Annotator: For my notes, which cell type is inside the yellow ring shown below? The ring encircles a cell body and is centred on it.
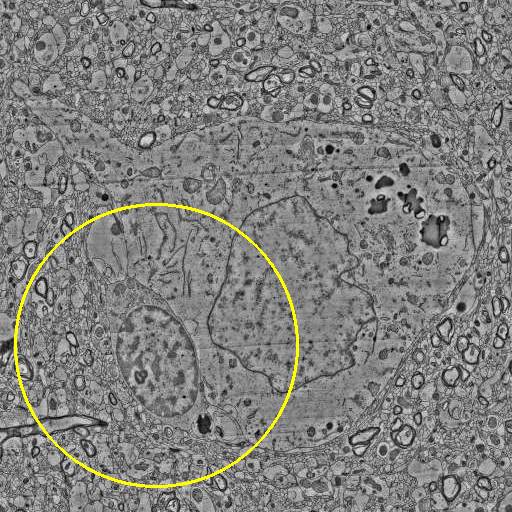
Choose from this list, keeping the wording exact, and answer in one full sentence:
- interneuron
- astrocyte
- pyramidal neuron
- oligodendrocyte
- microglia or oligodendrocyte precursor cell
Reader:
At the centre of the yellow ring there is an oligodendrocyte, as shown in the picture.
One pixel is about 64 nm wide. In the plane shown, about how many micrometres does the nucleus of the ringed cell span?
In this plane, the nucleus is roughly 6 by 5 micrometres.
